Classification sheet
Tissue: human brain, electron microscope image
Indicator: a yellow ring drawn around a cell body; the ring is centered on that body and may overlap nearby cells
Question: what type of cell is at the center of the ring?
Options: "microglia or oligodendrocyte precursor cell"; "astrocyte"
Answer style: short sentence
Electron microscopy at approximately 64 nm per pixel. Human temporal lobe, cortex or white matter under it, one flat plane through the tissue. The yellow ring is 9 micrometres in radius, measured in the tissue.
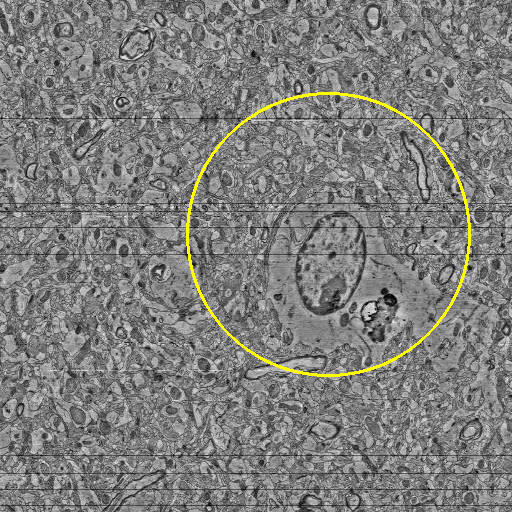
At the ring's center is an astrocyte.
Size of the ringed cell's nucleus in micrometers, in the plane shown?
The nucleus measures about 7 by 4 micrometres, so it is clearly longer than it is wide in this plane.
